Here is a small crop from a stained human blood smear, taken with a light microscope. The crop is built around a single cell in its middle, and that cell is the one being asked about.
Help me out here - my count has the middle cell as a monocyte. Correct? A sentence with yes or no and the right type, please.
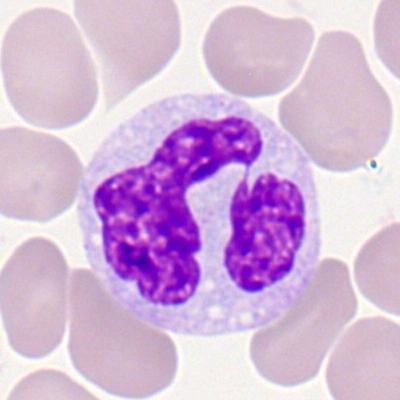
Yes, the cell found in the center of the crop is a monocyte.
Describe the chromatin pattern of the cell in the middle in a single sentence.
Thanks for asking; the chromatin is coarsely clumped.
